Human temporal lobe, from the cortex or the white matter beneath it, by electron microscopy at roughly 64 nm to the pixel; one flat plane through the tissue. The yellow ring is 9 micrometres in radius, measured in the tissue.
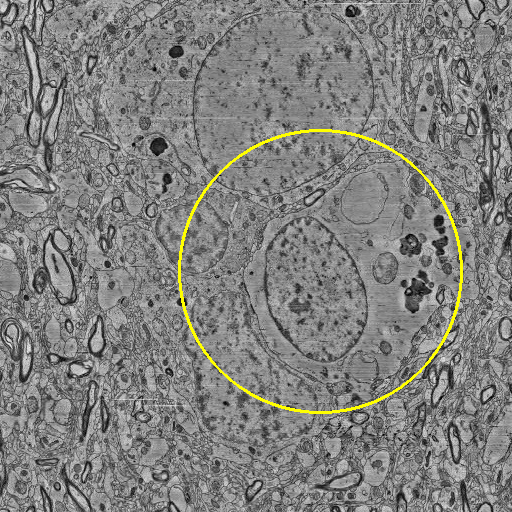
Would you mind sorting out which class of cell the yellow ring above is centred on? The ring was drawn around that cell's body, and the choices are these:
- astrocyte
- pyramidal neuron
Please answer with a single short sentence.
This is the cell body of an astrocyte.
